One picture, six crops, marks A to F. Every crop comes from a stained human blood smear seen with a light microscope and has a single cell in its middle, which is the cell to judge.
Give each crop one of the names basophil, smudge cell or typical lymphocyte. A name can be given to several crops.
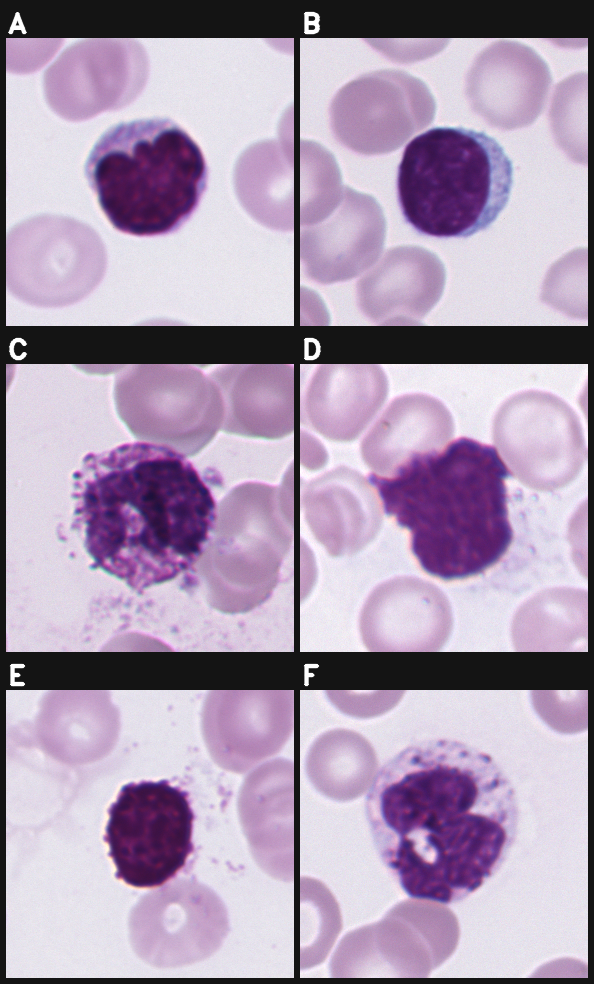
A: typical lymphocyte
B: typical lymphocyte
C: basophil
D: smudge cell
E: smudge cell
F: basophil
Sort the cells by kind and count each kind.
typical lymphocyte: 2
basophil: 2
smudge cell: 2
